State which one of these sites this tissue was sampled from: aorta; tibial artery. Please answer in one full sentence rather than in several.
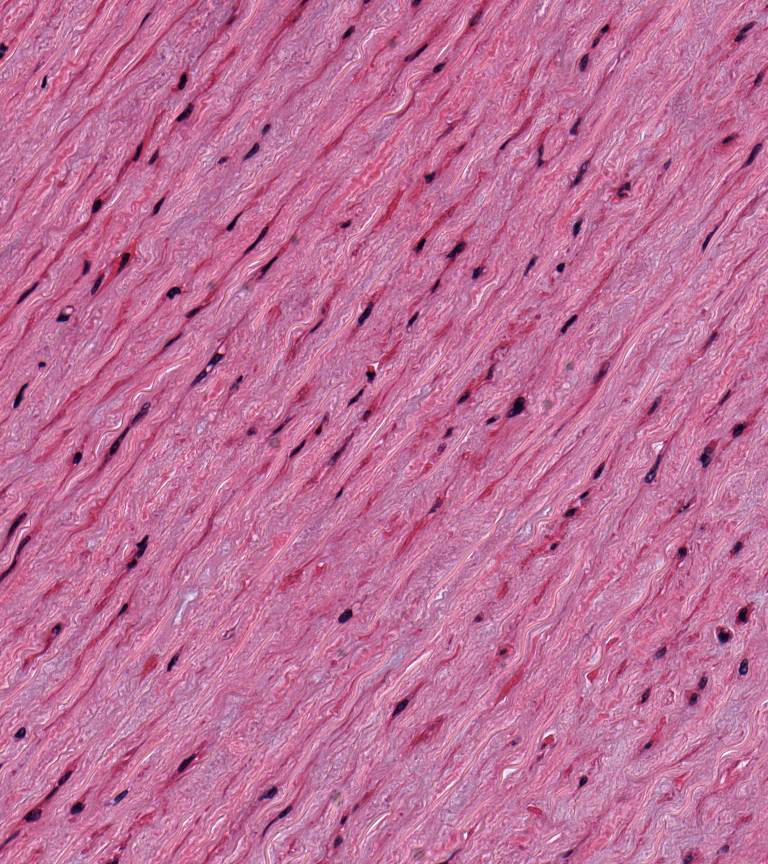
The specimen in this section was collected from the aorta.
